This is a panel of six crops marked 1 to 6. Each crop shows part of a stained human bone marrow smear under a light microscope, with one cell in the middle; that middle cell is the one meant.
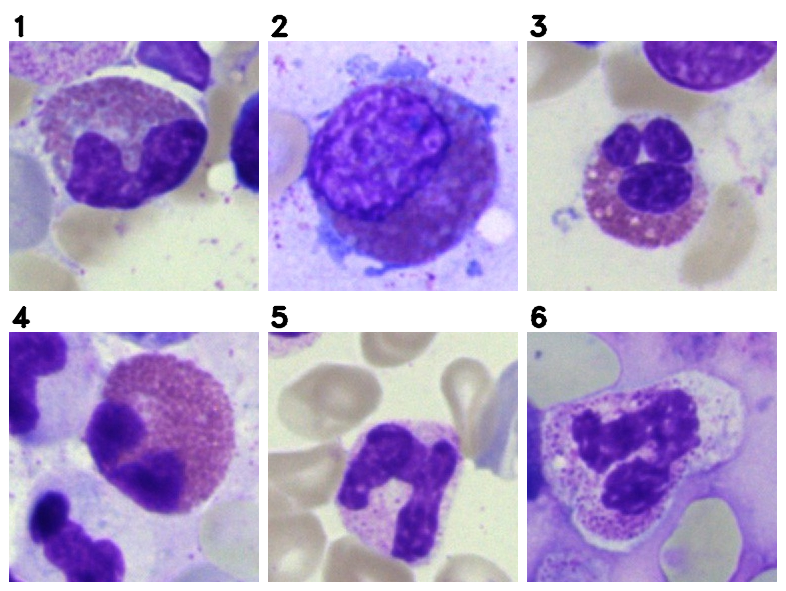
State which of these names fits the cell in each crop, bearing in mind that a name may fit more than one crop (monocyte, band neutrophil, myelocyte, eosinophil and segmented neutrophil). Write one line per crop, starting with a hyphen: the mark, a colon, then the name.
- 1: eosinophil
- 2: eosinophil
- 3: eosinophil
- 4: eosinophil
- 5: segmented neutrophil
- 6: segmented neutrophil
